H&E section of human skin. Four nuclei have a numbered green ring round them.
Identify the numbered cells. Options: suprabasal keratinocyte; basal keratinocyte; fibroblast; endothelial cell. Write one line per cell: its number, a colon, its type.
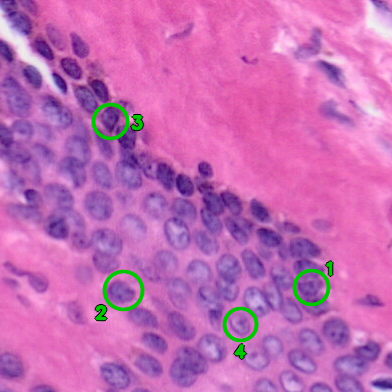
1: basal keratinocyte
2: basal keratinocyte
3: basal keratinocyte
4: suprabasal keratinocyte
